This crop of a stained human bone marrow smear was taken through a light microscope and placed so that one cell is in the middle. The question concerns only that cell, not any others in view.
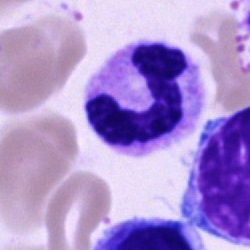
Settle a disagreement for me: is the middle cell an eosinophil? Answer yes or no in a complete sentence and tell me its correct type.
No, not an eosinophil but a neutrophil is the cell in the centre.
